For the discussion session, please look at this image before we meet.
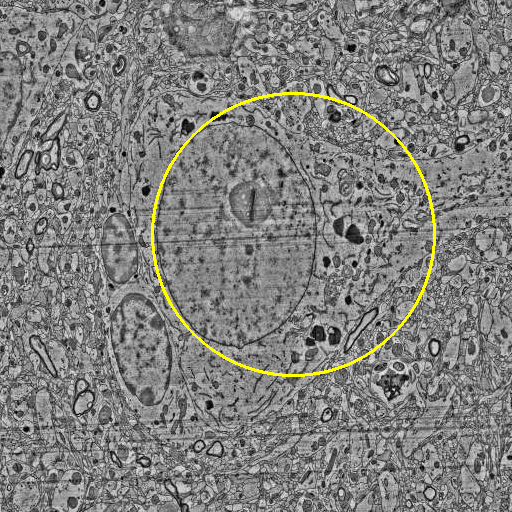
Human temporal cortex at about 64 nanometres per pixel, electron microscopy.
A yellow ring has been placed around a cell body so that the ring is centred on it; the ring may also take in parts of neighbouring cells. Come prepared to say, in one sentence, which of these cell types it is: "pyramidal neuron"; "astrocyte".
The cell centred in the ring is a pyramidal neuron.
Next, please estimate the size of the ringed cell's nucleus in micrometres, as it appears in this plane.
Approximately 15 micrometres long and 10 micrometres wide, in this plane.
